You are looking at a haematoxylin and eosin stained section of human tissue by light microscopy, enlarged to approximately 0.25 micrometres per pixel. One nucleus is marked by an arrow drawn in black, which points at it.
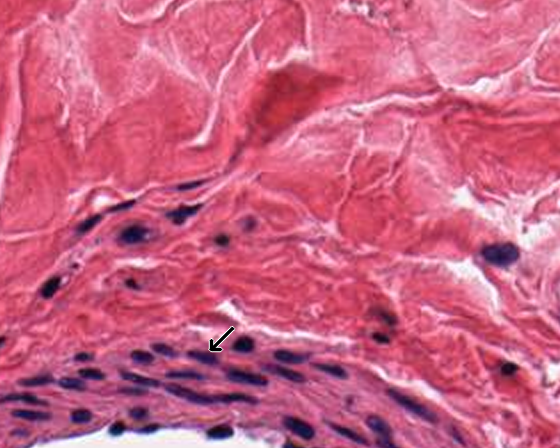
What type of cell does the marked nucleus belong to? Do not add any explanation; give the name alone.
smooth muscle cell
